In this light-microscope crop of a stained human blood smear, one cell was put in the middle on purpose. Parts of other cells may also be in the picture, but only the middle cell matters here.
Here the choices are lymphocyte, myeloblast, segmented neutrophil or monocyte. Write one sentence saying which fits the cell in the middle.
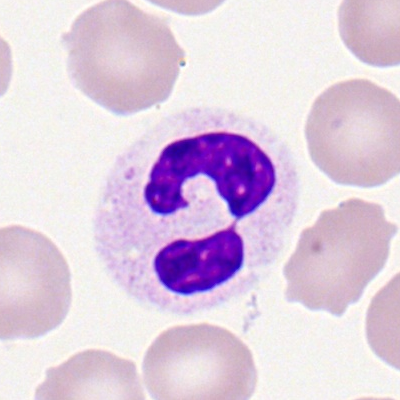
Seen at the centre of the crop is a segmented neutrophil.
